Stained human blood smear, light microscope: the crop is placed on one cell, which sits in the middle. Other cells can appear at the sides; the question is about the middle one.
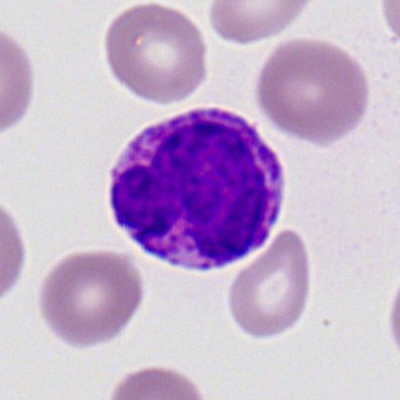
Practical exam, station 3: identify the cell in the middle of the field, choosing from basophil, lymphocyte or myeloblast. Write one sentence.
In the central position of this crop, the cell is a basophil.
